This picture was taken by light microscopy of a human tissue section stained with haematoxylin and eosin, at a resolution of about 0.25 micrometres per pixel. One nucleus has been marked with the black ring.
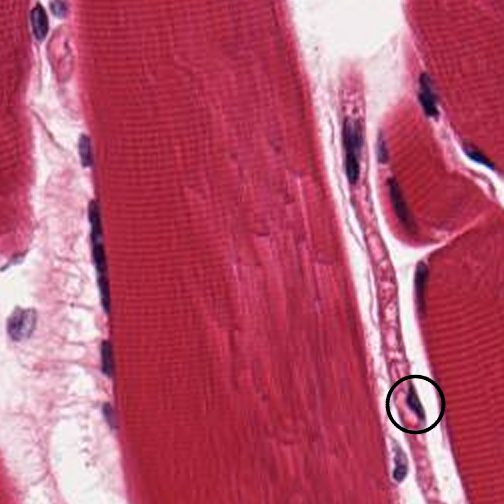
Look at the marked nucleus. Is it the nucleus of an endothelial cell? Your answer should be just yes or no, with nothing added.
yes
